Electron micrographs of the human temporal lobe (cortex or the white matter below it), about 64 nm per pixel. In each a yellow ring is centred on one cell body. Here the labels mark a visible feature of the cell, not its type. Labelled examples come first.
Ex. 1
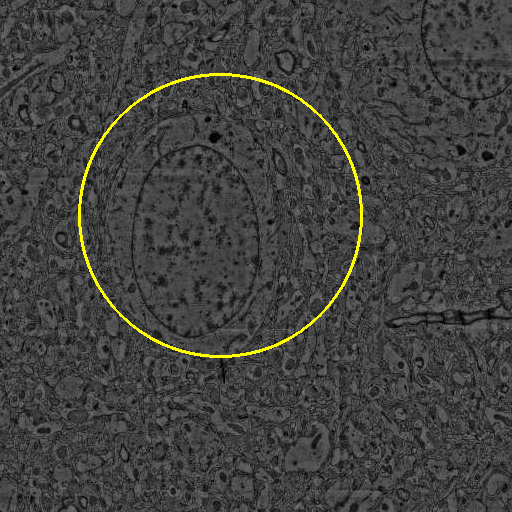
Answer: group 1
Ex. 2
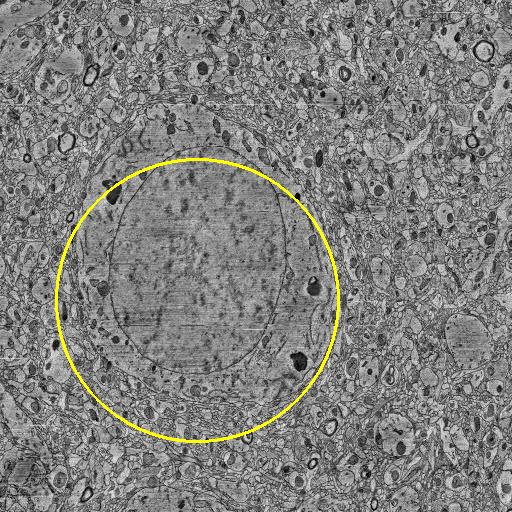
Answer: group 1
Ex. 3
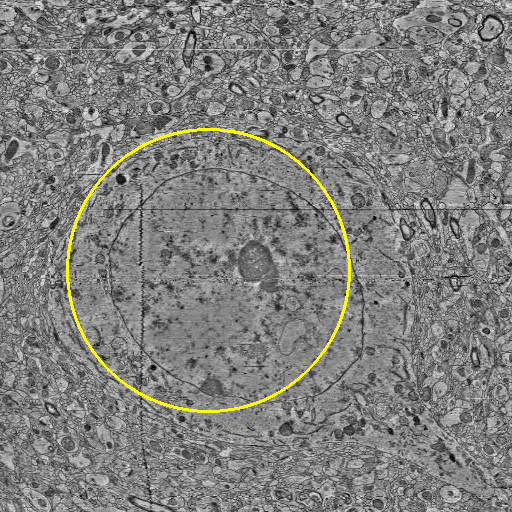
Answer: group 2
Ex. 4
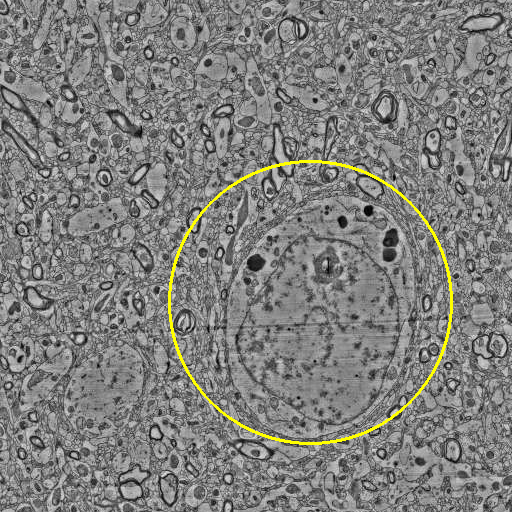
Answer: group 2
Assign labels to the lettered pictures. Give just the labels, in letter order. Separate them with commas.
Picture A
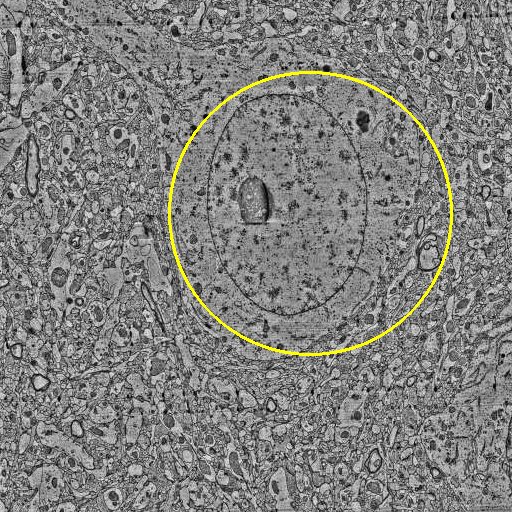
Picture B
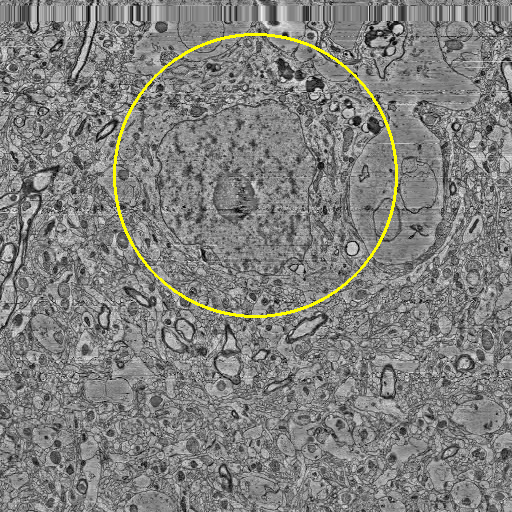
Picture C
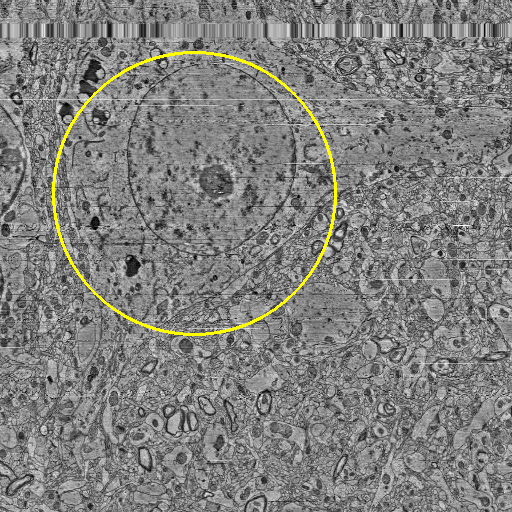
group 2, group 2, group 2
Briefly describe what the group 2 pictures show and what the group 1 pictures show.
Seen in group 2: nucleolus seen; seen in group 1: no nucleolus seen.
